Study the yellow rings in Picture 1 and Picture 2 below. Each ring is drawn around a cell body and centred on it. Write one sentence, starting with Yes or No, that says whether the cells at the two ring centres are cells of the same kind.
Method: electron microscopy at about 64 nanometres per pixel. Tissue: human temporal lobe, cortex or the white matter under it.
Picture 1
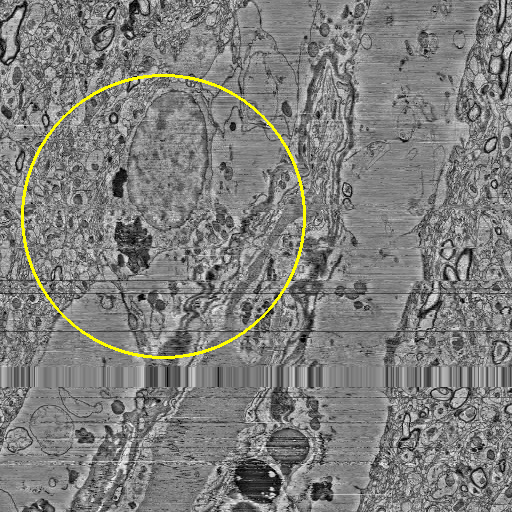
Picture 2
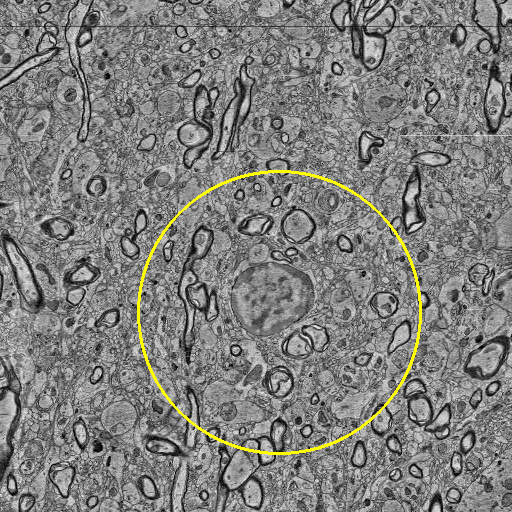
No, the cells at the ring centres are of two kinds.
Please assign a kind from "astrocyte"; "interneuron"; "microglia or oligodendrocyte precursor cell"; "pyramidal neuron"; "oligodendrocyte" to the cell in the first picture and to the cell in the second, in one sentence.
In the first picture we have an oligodendrocyte, and in the second, a microglial cell or oligodendrocyte precursor cell.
